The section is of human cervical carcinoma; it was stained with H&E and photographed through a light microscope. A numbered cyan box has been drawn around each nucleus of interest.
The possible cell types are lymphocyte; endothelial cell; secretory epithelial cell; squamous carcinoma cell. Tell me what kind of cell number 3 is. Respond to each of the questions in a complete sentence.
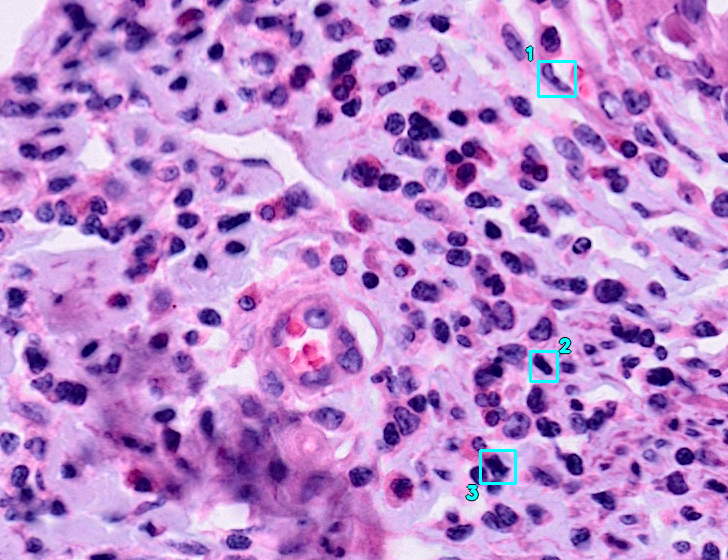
The cell marked with the number 3 is a lymphocyte.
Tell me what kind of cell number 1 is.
The cell with the number 1 is an endothelial cell.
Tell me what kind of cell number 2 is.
Nucleus 2 in this section belongs to a lymphocyte.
